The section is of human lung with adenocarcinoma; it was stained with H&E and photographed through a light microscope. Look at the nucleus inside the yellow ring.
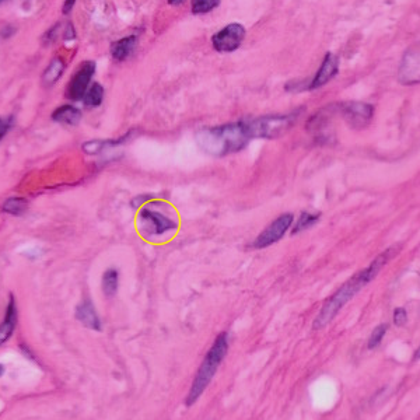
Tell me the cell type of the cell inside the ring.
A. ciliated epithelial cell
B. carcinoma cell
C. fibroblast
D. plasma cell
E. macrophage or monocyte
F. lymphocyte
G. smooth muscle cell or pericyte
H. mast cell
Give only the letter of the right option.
C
